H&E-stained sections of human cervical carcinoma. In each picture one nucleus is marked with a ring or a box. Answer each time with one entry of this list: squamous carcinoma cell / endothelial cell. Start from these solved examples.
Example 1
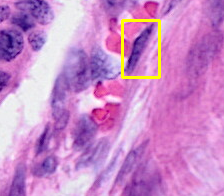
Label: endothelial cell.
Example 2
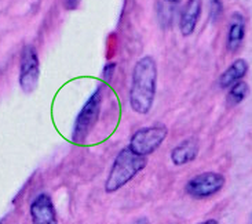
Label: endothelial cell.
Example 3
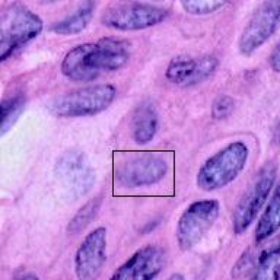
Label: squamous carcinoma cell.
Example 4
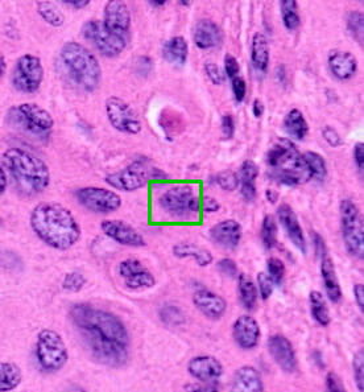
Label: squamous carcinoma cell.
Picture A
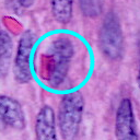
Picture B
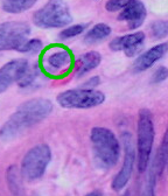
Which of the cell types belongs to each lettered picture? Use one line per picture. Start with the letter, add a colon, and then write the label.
A: endothelial cell.
B: endothelial cell.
